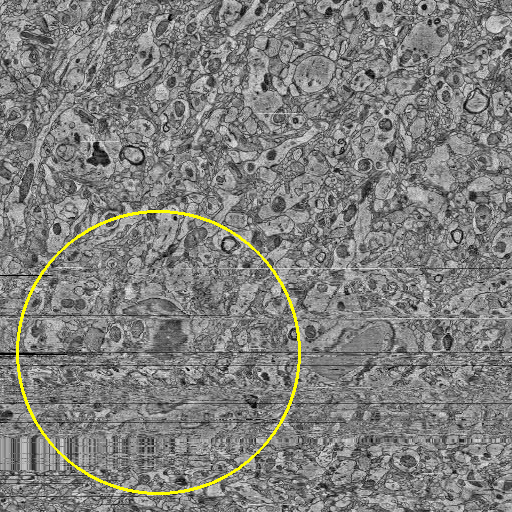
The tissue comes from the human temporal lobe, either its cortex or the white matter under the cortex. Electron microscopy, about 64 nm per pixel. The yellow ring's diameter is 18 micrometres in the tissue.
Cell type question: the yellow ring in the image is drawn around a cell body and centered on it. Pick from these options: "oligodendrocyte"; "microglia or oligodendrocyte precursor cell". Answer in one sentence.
The ringed cell at the center is a microglial cell or oligodendrocyte precursor cell.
